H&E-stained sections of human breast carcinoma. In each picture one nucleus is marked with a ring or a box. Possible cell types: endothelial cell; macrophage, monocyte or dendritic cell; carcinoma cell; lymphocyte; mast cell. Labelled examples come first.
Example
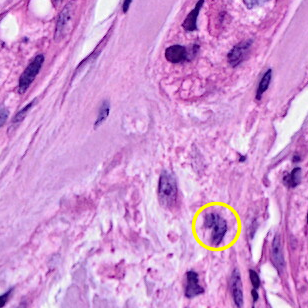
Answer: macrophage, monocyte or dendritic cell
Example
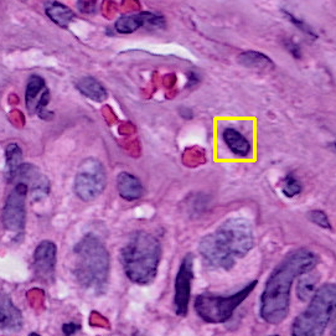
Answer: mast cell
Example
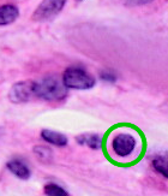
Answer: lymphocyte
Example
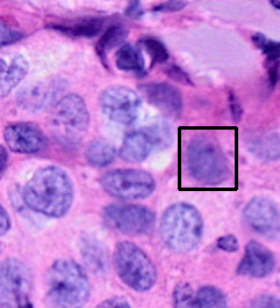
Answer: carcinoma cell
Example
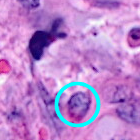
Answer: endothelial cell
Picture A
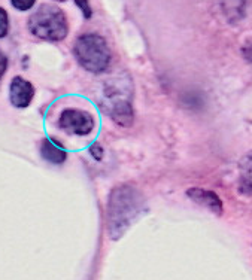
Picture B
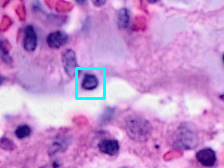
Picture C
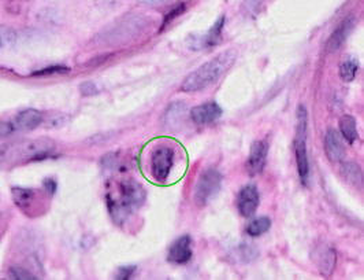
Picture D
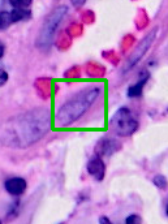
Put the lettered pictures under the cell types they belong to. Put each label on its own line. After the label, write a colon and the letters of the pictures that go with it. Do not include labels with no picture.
endothelial cell: D
lymphocyte: A, B
mast cell: C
